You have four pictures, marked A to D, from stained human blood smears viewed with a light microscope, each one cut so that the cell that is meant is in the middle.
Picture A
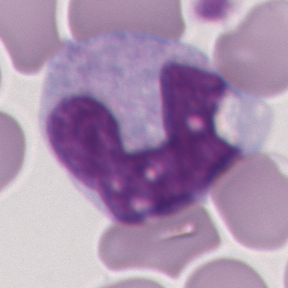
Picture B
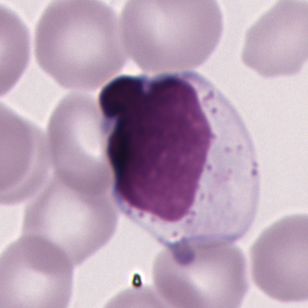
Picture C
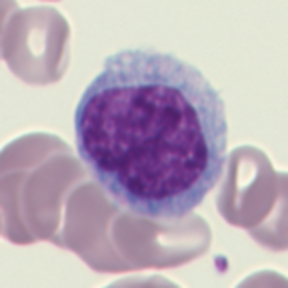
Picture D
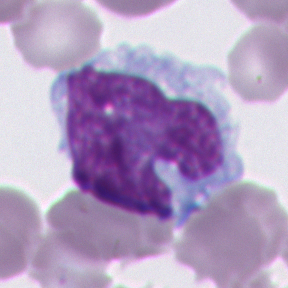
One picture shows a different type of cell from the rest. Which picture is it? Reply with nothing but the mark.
B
